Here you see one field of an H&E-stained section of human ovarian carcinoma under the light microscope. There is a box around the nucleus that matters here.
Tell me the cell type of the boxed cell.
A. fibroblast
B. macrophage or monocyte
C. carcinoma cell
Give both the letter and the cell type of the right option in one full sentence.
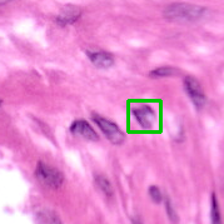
The correct choice is option A; the boxed cell is a fibroblast.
